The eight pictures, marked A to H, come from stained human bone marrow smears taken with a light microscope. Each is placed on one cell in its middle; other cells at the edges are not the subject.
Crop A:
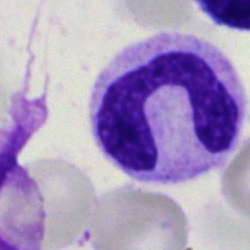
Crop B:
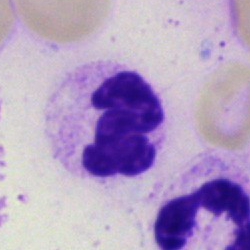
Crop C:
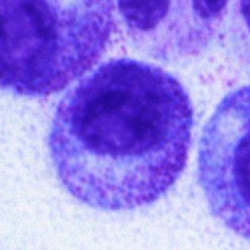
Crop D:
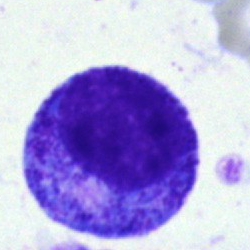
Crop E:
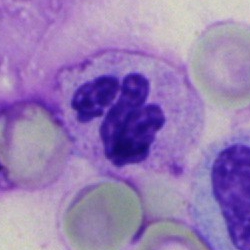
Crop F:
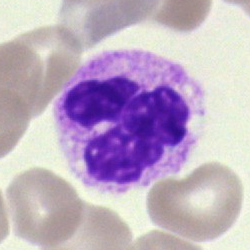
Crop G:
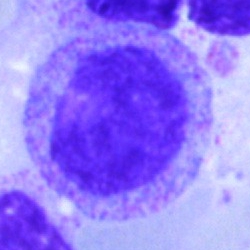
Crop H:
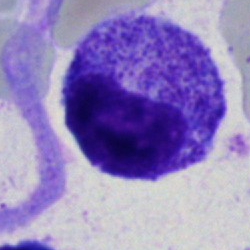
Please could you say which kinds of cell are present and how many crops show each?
segmented neutrophil: 4
myelocyte: 4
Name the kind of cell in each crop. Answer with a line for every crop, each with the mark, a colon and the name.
A: segmented neutrophil
B: segmented neutrophil
C: myelocyte
D: myelocyte
E: segmented neutrophil
F: segmented neutrophil
G: myelocyte
H: myelocyte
